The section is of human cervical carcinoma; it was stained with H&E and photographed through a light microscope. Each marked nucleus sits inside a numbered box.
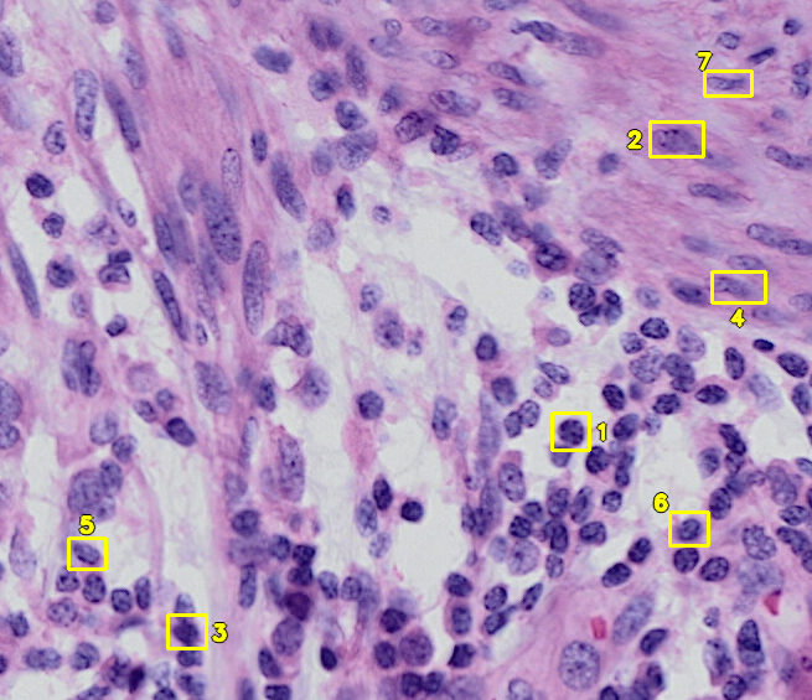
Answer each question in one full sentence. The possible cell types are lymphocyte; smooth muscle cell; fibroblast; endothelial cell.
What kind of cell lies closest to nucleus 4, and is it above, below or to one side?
It is a smooth muscle cell, whose nucleus lies above and to the right of nucleus 4.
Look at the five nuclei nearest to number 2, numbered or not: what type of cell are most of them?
Most of the five nuclei nearest to number 2 are those of smooth muscle cells.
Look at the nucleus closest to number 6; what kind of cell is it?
Number 6 lies closest to the nucleus of a lymphocyte.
